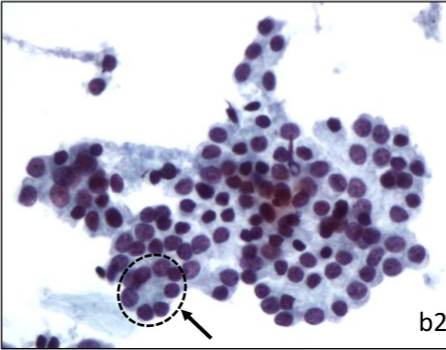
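A cohesive cluster of thyroid follicular cells lies on a clean background, their nuclei round, dark purple and much alike in size and shape. At the lower left edge a few cells are arranged in a small ring around a tiny central space, forming a microfollicle. A few loose single cells and wisps of pale material lie at the margins. The uniformity of the cells and their small-ring arrangement is the picture of a microfollicular pattern.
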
